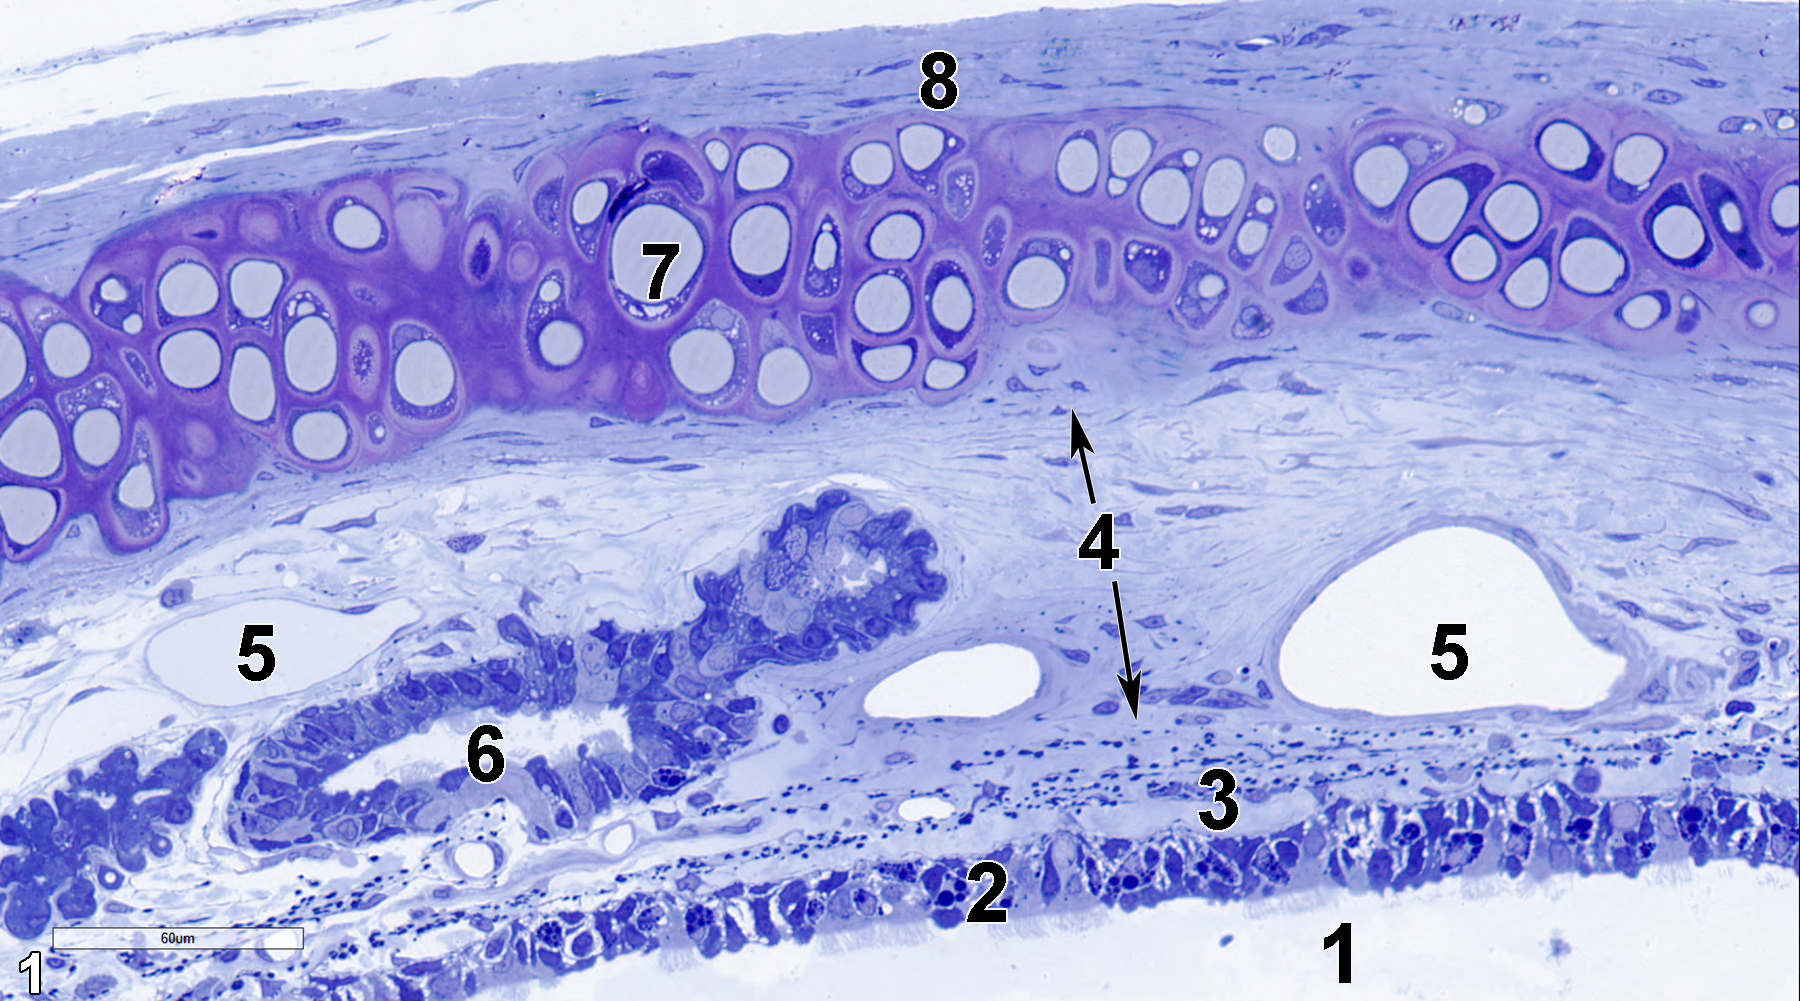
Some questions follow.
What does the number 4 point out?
Submucosal layer.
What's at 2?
Pseudostratified epithelium.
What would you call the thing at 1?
The number 1 marks the tracheal lumen.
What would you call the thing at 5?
vessels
